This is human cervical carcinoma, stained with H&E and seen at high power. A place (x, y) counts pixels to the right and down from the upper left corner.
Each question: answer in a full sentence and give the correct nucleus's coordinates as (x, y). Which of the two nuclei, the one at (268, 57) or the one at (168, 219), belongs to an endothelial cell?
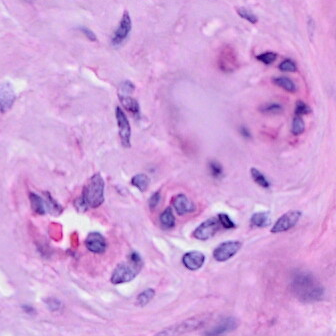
Lying within an endothelial cell is the nucleus at (168, 219).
